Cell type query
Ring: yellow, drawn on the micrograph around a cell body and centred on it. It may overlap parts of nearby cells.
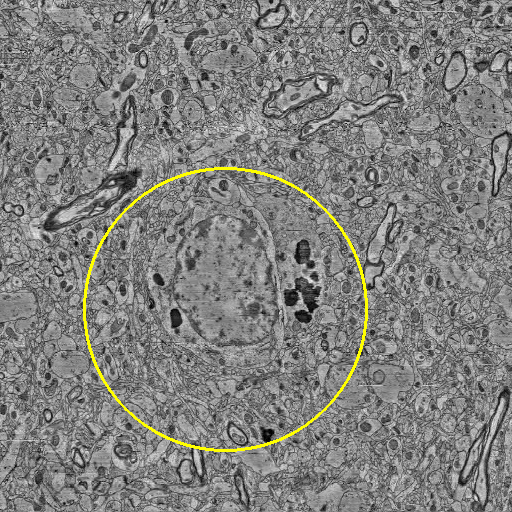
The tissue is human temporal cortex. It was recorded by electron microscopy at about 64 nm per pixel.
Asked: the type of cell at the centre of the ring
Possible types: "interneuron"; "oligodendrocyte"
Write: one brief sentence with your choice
The ring marks an interneuron.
